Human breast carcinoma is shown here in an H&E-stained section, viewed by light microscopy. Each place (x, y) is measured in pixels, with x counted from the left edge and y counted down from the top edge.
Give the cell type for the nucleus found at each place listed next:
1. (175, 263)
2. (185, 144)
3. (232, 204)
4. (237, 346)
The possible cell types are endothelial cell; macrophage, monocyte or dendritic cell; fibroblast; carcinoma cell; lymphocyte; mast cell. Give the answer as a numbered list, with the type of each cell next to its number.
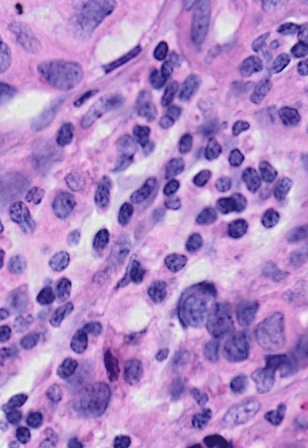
1. lymphocyte
2. lymphocyte
3. lymphocyte
4. carcinoma cell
